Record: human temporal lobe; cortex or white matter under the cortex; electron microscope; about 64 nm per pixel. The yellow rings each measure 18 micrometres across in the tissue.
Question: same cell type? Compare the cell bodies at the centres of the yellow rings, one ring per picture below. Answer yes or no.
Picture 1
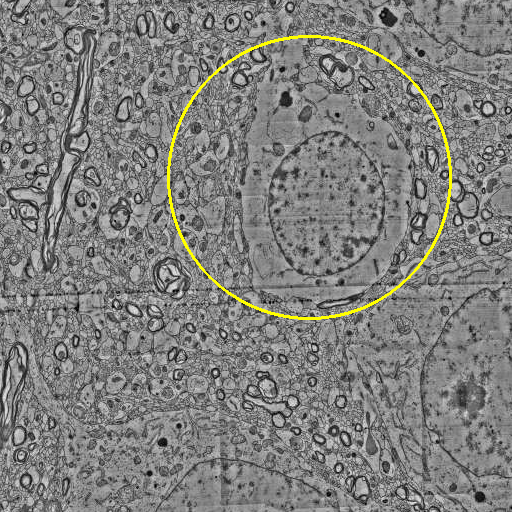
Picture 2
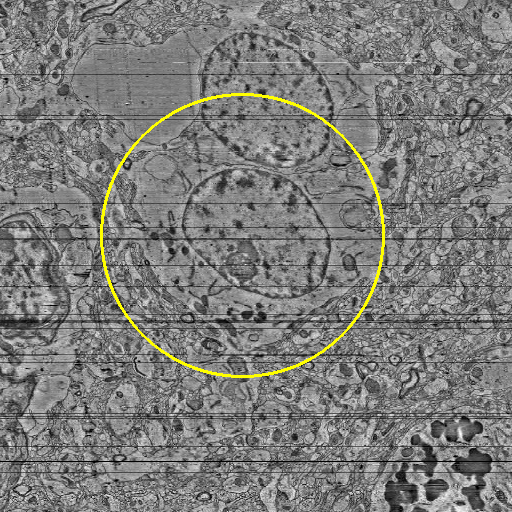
yes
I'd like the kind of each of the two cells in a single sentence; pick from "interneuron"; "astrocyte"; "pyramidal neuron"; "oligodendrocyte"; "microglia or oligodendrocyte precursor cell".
Each of the two rings is centred on an astrocyte.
